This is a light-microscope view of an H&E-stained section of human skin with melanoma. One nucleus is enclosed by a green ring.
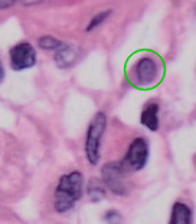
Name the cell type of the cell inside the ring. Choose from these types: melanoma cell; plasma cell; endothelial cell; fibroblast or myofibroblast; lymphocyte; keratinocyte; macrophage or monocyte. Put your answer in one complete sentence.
Recorded by type, the cell inside the ring is a macrophage or monocyte.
